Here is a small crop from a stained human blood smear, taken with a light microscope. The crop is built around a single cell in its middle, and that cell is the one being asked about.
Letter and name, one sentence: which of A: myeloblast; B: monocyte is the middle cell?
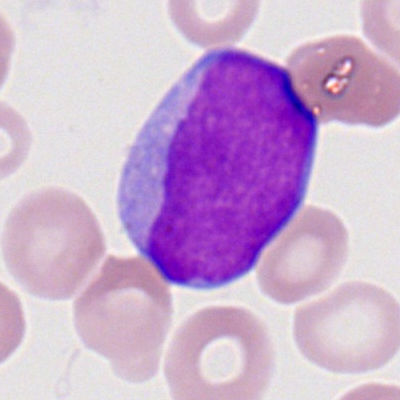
The cell centred in the crop is a myeloblast, and the correct option is thus A.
